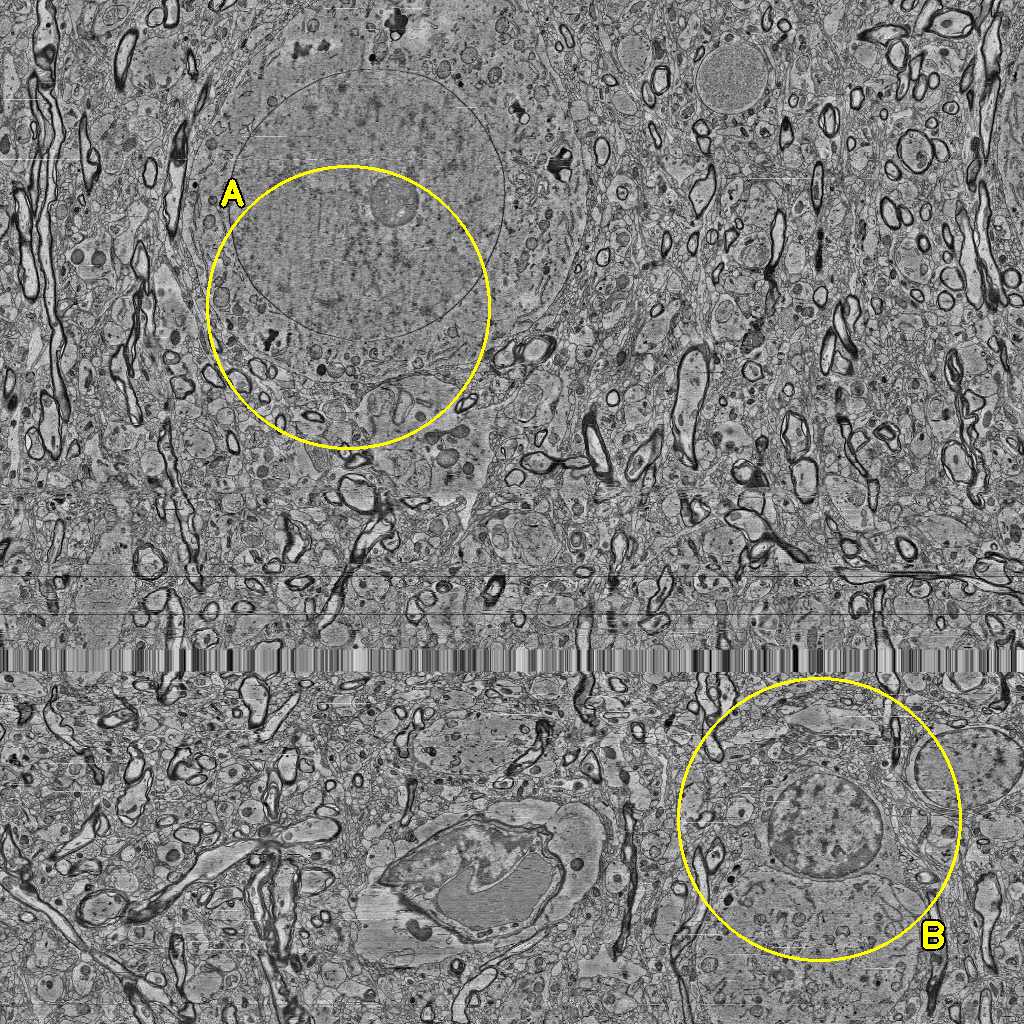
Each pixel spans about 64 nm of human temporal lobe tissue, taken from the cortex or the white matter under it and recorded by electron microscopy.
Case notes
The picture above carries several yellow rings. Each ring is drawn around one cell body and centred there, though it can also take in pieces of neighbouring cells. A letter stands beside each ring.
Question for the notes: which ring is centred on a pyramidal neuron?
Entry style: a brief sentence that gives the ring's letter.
Ring A is centred on it.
